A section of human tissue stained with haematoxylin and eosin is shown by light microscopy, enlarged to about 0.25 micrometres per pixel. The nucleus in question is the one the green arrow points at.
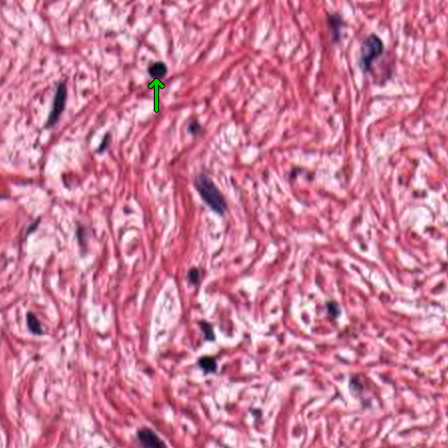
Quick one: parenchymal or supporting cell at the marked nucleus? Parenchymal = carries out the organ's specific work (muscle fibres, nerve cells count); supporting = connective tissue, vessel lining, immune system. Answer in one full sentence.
The cell bearing the marked nucleus is a supporting cell.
